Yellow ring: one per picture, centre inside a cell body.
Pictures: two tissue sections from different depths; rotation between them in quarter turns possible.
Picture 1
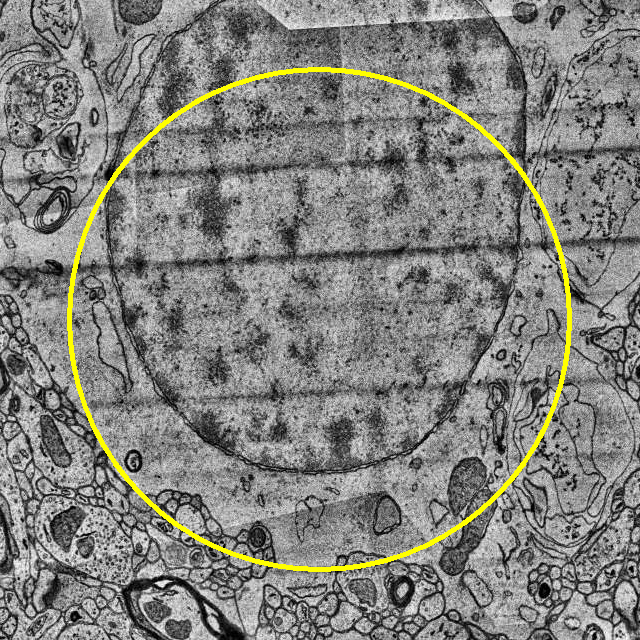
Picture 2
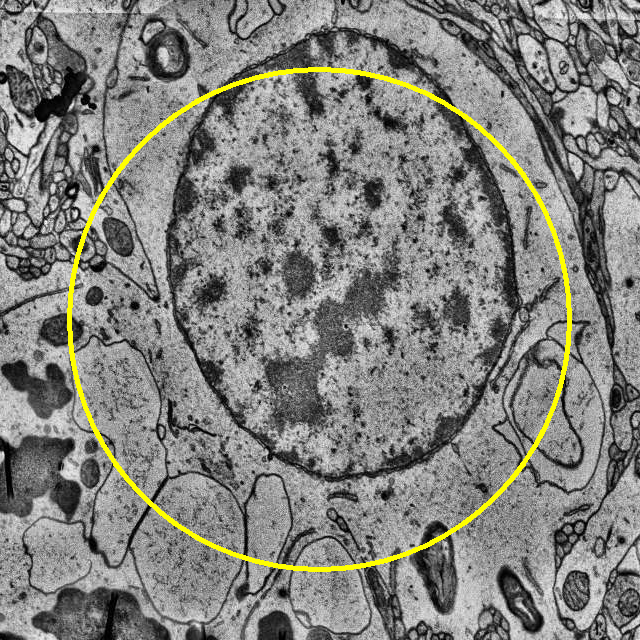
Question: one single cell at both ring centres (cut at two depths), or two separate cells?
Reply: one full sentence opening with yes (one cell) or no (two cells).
No, one ring marks one cell and the other ring marks another.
